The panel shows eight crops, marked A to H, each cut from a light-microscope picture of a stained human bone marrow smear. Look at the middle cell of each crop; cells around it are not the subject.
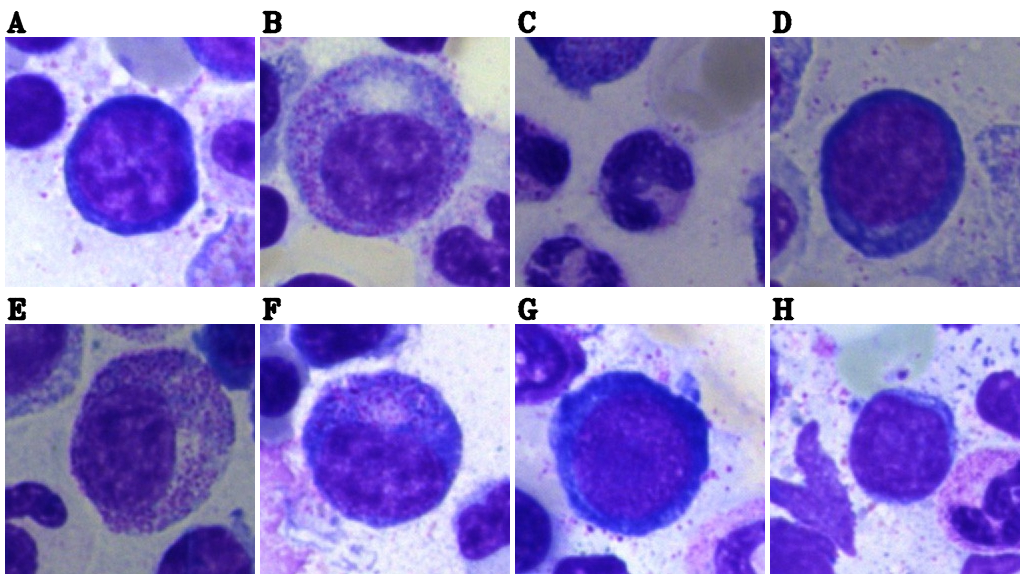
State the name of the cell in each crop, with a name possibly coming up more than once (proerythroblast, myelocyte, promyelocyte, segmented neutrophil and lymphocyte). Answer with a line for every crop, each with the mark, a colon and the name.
A: proerythroblast
B: promyelocyte
C: segmented neutrophil
D: proerythroblast
E: myelocyte
F: promyelocyte
G: proerythroblast
H: lymphocyte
